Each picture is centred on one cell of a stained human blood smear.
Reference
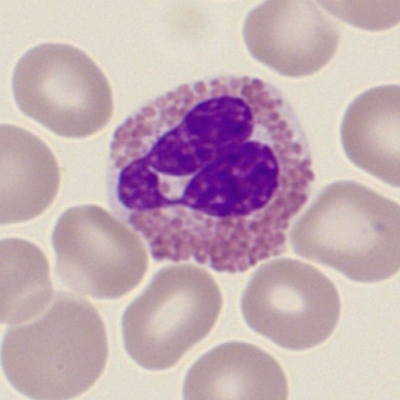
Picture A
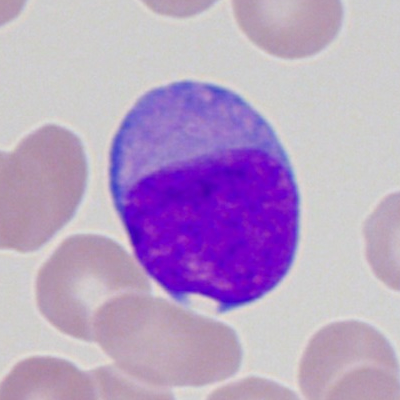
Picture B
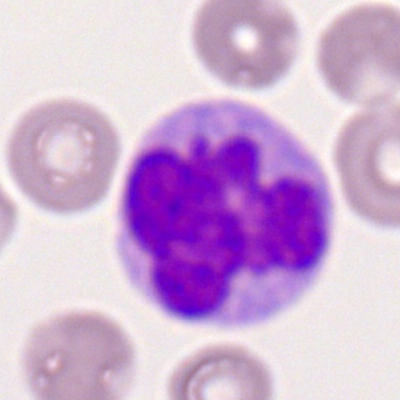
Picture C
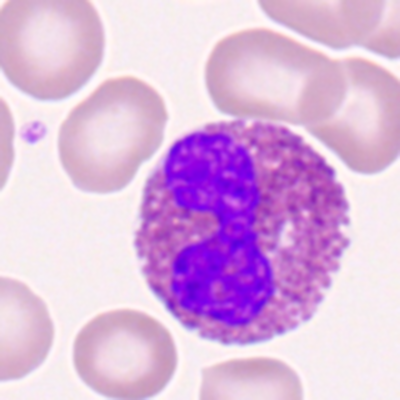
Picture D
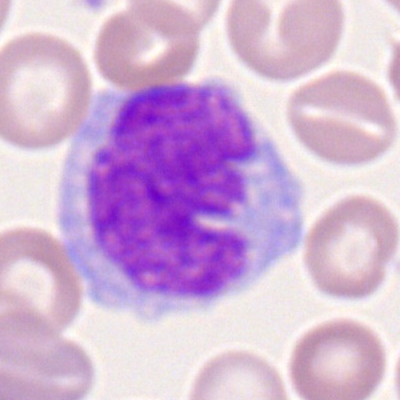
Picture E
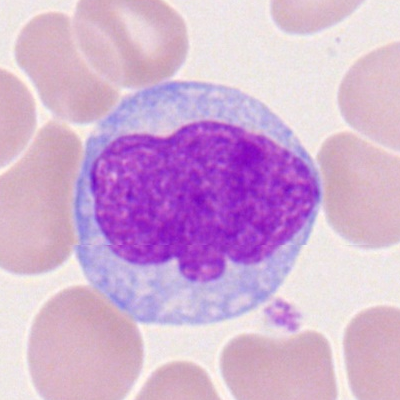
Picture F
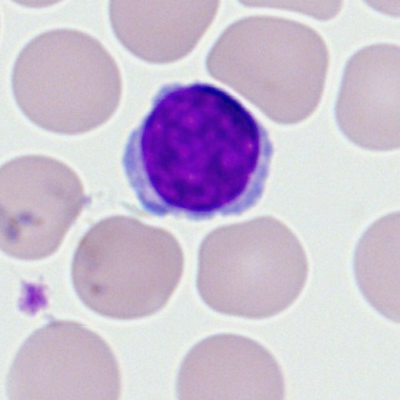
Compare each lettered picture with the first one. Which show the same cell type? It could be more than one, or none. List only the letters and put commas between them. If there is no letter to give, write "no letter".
C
